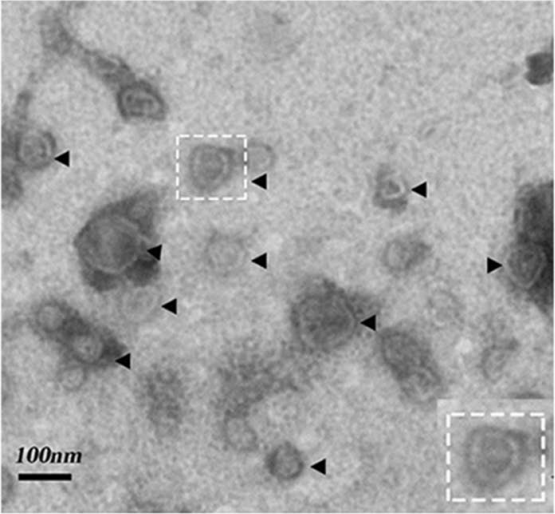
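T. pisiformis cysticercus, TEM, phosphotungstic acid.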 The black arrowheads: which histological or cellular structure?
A: Exosome-like vesicles.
